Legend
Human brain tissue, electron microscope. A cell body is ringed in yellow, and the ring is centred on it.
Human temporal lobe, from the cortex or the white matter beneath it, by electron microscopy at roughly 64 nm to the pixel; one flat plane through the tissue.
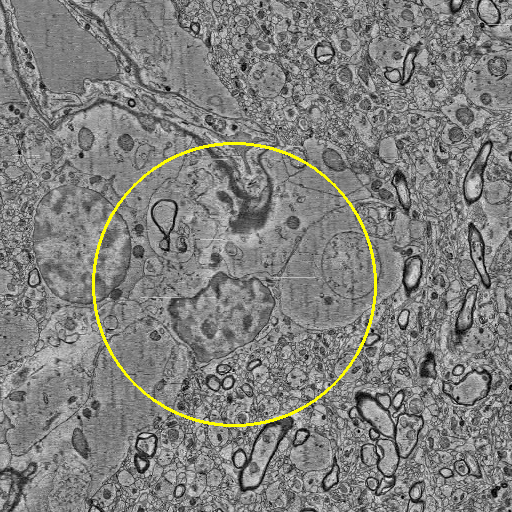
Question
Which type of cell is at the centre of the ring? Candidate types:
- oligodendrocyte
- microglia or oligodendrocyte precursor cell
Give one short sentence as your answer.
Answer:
The yellow ring is centred here on a microglial cell or oligodendrocyte precursor cell.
